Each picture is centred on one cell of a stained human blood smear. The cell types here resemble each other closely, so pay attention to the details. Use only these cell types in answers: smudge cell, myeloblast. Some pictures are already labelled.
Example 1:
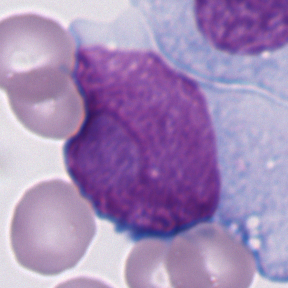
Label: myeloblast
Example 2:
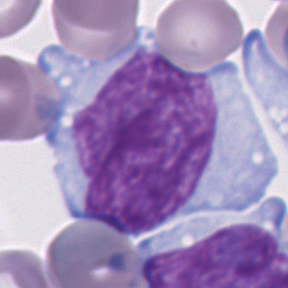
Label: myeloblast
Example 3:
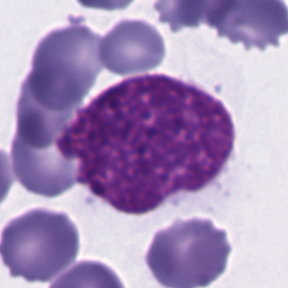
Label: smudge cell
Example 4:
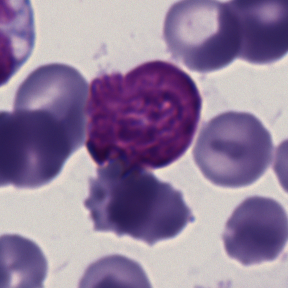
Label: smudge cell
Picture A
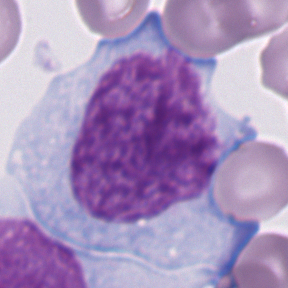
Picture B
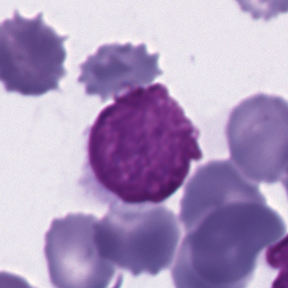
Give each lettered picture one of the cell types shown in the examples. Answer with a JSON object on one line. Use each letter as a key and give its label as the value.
{"A": "myeloblast", "B": "myeloblast"}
